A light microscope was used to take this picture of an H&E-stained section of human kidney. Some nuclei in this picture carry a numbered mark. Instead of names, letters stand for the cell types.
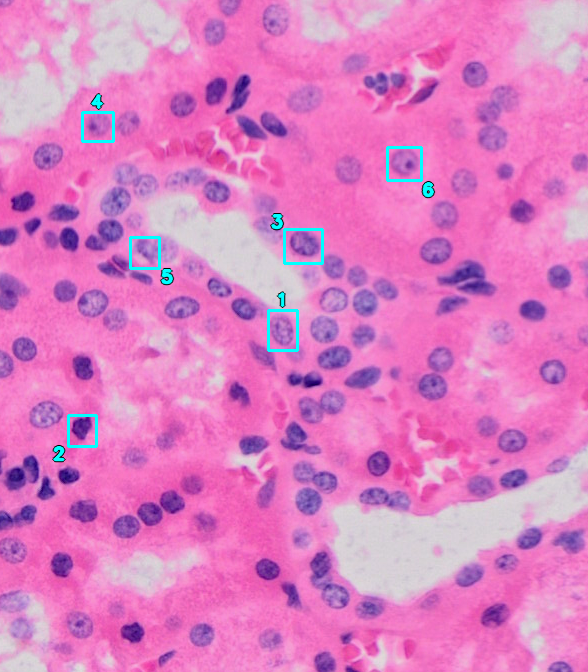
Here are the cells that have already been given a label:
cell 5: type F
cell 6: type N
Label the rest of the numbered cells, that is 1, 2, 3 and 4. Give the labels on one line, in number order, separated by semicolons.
type F; type N; type F; type N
